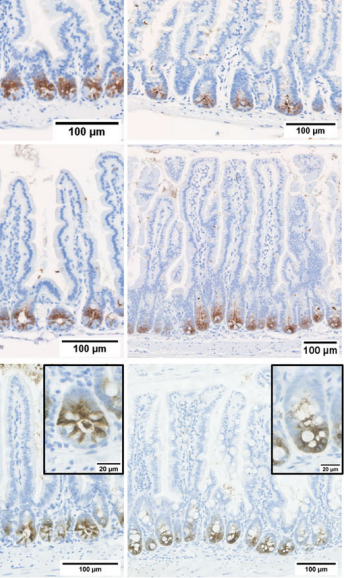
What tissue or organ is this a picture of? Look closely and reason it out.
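Small intestinal tissue. Long finger-like villi project from the mucosa. Short crypts lie at the base of the villi above the muscle layer. Villi are lined by a single layer of columnar epithelium.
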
